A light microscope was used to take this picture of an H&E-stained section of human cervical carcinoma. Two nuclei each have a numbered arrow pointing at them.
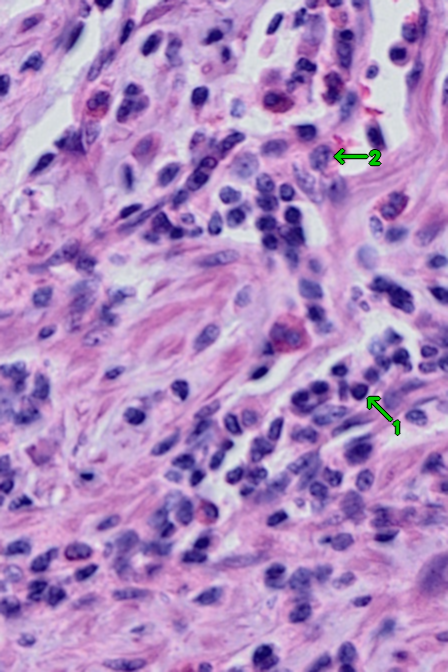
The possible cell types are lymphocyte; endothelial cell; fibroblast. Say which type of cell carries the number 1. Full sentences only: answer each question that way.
In this section, the cell numbered 1 is a lymphocyte.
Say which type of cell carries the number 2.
Cell 2 is classified as an endothelial cell.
